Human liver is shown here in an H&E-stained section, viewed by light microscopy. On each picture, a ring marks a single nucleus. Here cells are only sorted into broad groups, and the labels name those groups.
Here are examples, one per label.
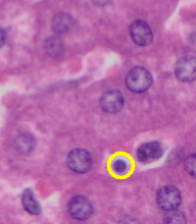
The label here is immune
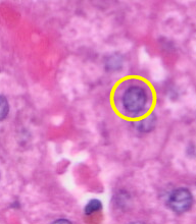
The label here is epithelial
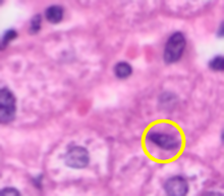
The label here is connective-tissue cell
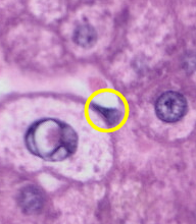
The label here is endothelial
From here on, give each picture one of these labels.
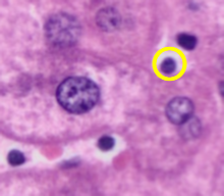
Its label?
immune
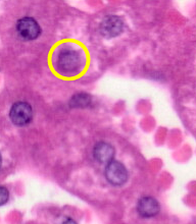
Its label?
epithelial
